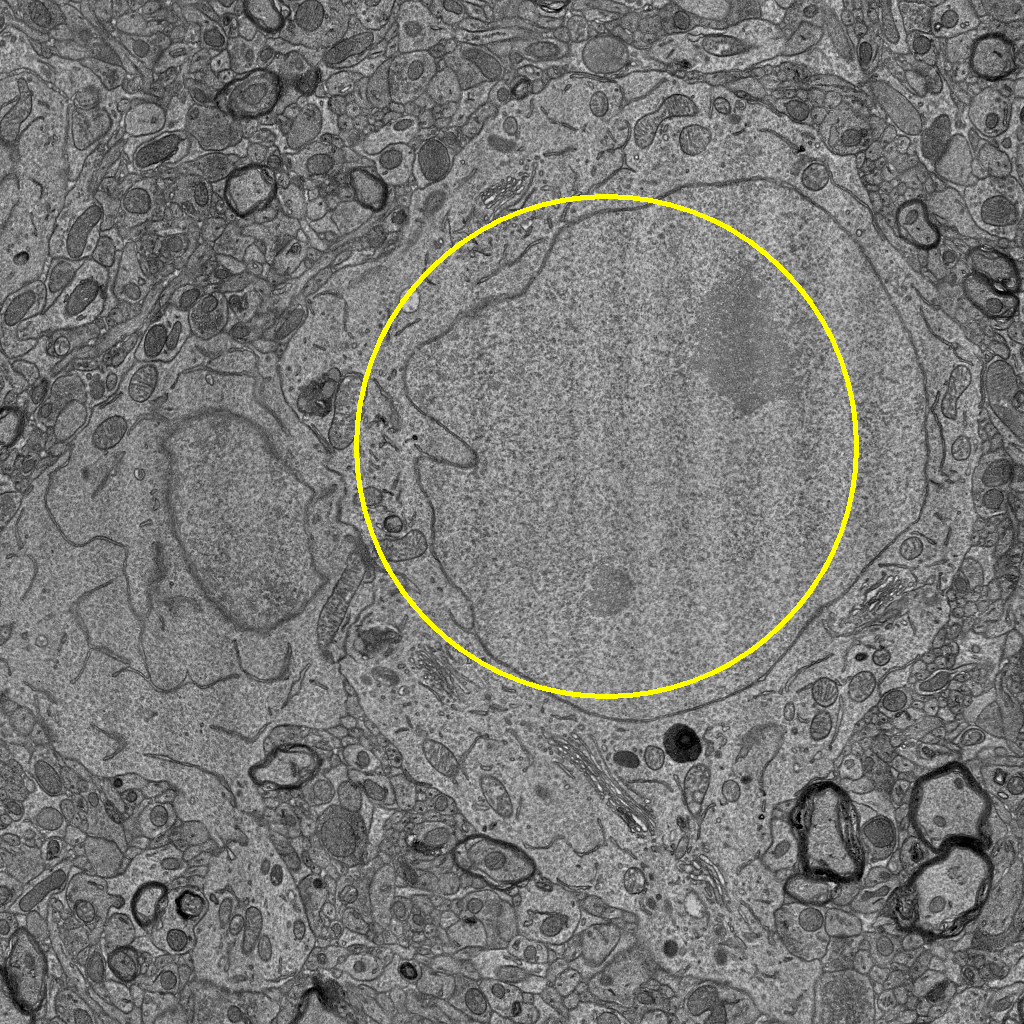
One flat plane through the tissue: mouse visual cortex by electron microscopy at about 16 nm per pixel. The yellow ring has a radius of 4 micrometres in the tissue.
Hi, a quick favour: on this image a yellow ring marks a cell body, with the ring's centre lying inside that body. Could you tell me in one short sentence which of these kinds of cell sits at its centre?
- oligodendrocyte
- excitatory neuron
The ring's centre lies in an excitatory neuron.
